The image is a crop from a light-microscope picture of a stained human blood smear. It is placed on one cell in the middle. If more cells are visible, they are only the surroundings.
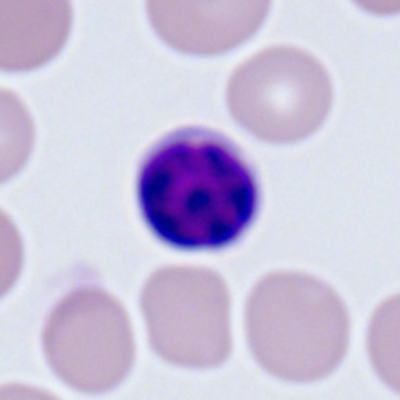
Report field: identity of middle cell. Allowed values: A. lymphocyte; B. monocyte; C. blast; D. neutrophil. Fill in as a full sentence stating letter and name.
The central cell of the crop is a lymphocyte, which makes A the correct option.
